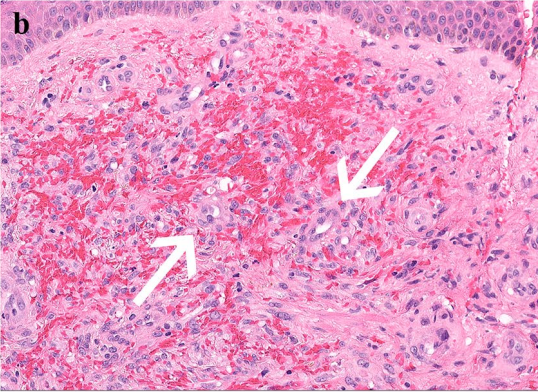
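Skin with epidermis along the top edge and a dermis packed with irregular, jagged vascular spaces filled with red blood cells. Plump to spindled cells with oval nuclei line the spaces and lie between pink collagen bundles.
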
